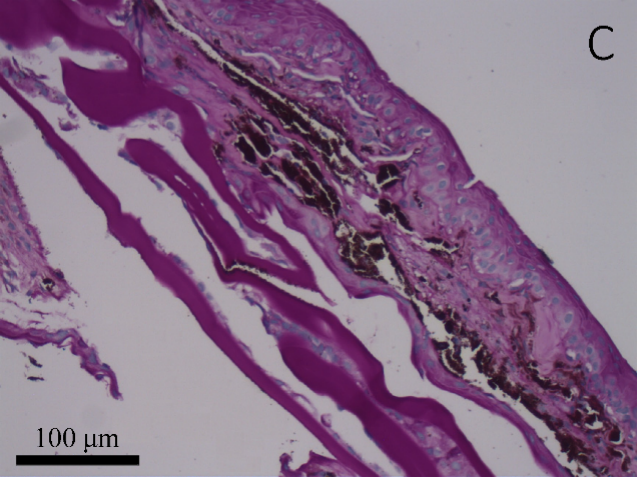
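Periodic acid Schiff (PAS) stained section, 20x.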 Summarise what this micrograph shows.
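Detached fragments of lens capsule stand out as thick, glassy, homogeneous bands stained deep magenta and free of nuclei. Beside them lies a strip of uveal tissue with dense dark brown pigment, covered by stratified epithelium with pale purple cytoplasm and bluish nuclei.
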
